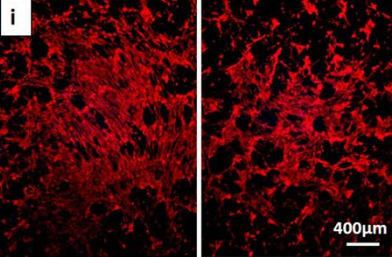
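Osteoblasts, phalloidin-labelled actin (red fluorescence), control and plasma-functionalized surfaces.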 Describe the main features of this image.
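In the left field, many elongated, spindle-shaped cells lie closely side by side, and fine parallel red fibres run along their length, so that the cells seem to stream together in a common direction. In the right field, the cells join into a branching, net-like sheet of red, broken up by dark gaps where no cells lie.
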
